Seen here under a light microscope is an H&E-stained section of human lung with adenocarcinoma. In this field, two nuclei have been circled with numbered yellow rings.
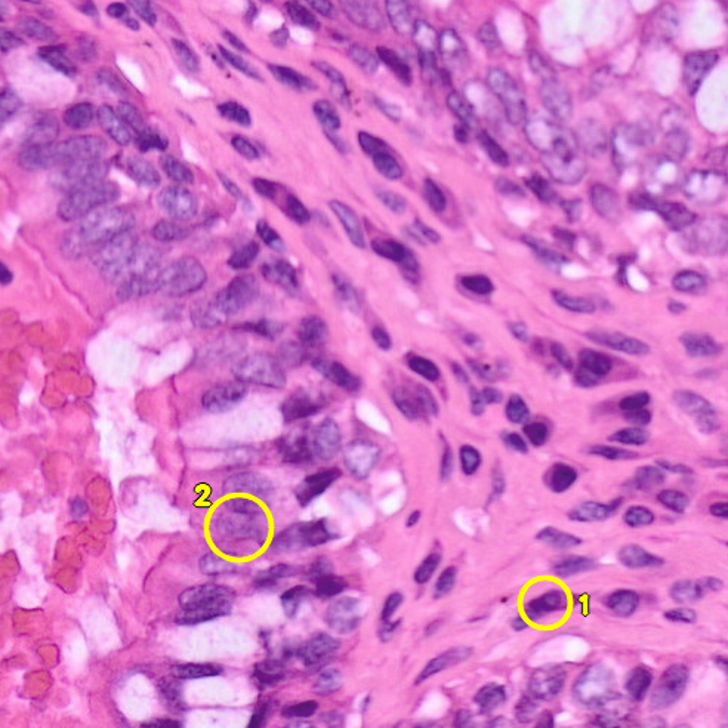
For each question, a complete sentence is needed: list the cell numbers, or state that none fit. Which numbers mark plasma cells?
Only cell 1 should be marked as a plasma cell.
